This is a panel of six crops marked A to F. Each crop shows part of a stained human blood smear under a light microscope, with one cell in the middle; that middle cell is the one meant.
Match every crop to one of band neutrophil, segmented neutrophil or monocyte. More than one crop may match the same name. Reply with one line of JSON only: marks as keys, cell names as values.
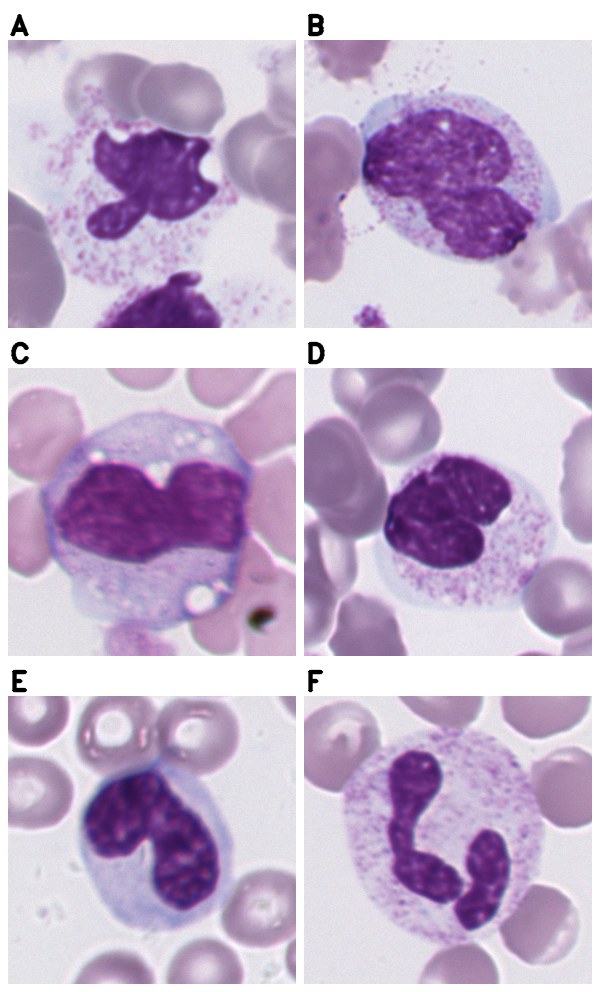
{"A": "segmented neutrophil", "B": "band neutrophil", "C": "monocyte", "D": "band neutrophil", "E": "band neutrophil", "F": "segmented neutrophil"}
